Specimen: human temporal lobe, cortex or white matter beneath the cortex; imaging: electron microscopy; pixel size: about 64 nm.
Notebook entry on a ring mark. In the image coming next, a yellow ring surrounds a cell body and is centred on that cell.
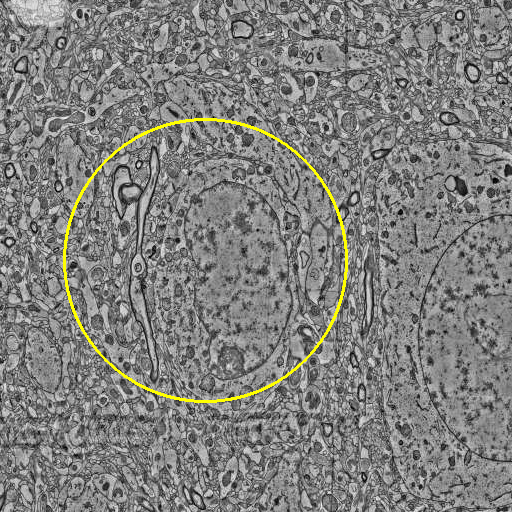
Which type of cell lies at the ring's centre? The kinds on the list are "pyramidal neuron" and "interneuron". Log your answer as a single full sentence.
Centred in the yellow ring is an interneuron, the cell recorded for this image.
